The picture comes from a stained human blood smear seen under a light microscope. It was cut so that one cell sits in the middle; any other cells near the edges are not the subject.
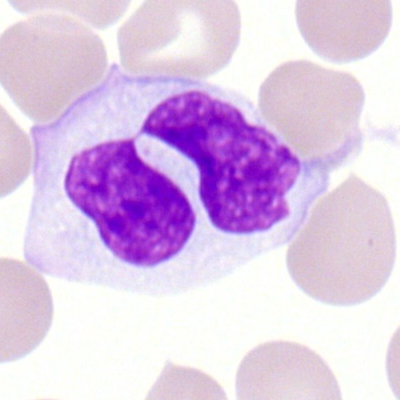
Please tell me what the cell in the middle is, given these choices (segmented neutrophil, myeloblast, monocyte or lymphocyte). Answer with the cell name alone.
monocyte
